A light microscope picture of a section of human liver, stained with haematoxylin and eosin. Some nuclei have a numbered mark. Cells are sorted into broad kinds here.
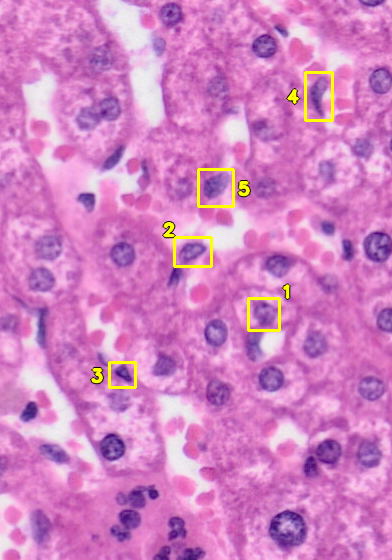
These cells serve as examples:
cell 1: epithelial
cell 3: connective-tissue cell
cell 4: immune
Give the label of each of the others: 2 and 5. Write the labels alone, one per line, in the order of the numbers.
immune
connective-tissue cell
